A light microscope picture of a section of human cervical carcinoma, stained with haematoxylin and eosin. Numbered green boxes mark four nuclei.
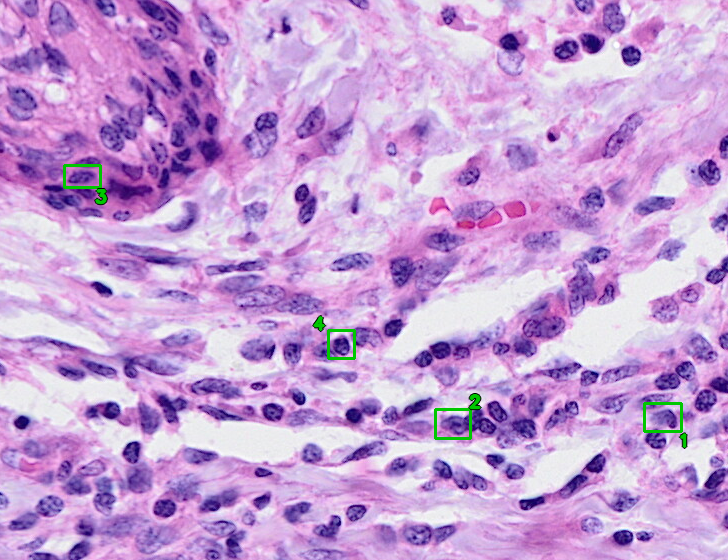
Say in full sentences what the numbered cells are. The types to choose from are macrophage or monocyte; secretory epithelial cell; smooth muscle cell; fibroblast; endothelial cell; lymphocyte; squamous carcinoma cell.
Cells 1, 2 and 4 are lymphocytes. Cell 3 is a squamous carcinoma cell.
